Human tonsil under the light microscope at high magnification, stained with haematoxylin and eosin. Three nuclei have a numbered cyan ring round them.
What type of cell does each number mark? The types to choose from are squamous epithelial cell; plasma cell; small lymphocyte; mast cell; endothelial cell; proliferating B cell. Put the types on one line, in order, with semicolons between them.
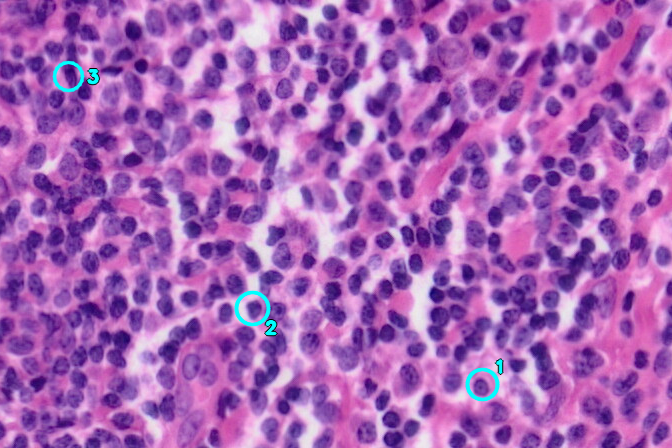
mast cell; small lymphocyte; small lymphocyte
